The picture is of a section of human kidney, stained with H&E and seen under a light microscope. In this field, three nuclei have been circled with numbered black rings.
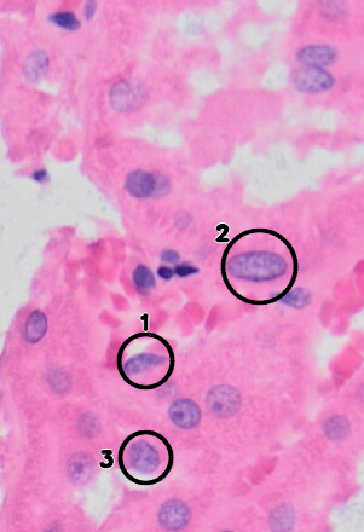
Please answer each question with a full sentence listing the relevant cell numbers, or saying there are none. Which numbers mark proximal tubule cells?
Marked by the numbers 2 and 3 are cells that are proximal tubule cells.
